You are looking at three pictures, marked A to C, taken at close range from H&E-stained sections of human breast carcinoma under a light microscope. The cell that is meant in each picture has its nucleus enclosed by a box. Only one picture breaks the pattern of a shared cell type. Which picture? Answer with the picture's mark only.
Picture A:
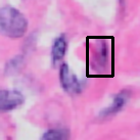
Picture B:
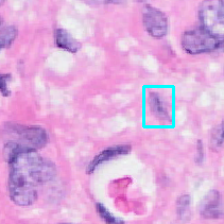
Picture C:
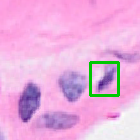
B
